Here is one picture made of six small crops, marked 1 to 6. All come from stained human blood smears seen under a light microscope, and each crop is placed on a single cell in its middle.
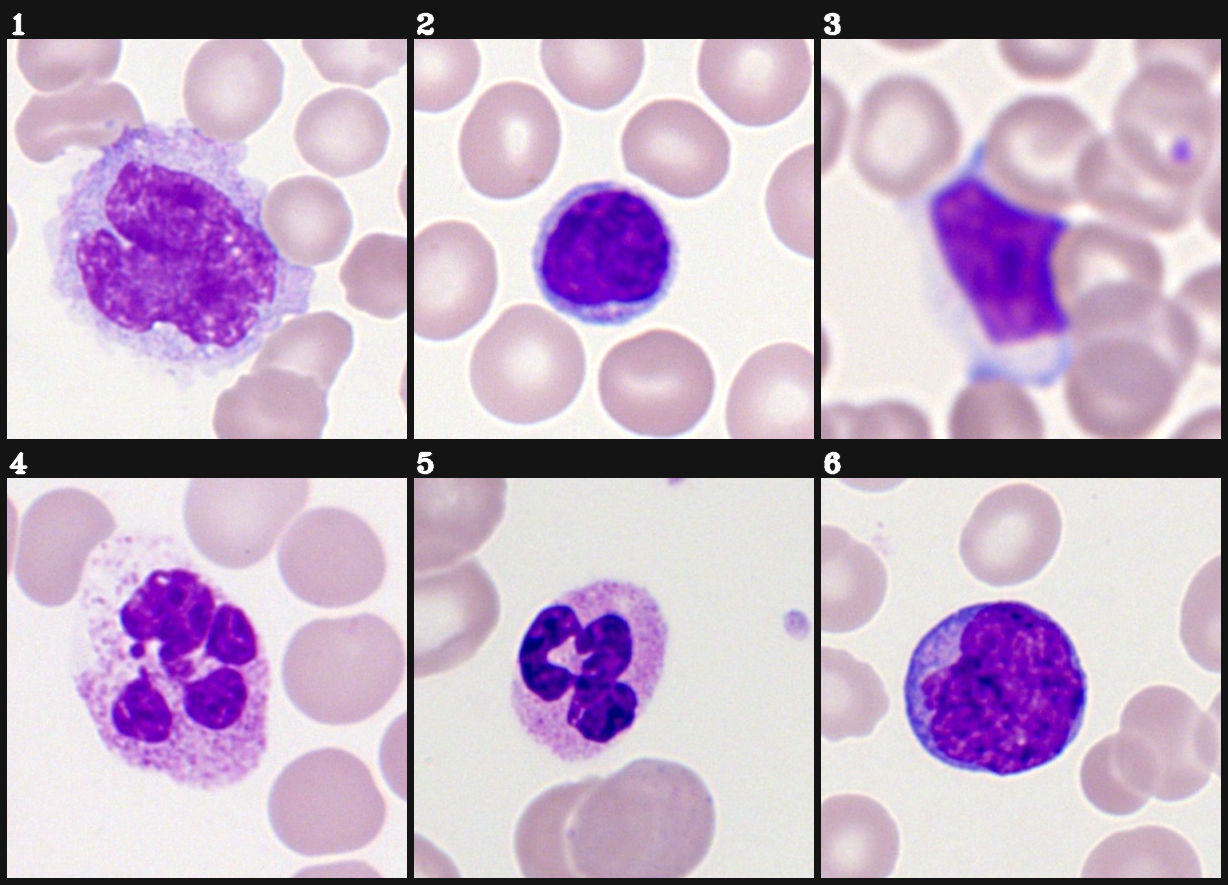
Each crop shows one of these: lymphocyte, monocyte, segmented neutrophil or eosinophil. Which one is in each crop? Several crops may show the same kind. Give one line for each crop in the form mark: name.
1: monocyte
2: lymphocyte
3: lymphocyte
4: segmented neutrophil
5: segmented neutrophil
6: lymphocyte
